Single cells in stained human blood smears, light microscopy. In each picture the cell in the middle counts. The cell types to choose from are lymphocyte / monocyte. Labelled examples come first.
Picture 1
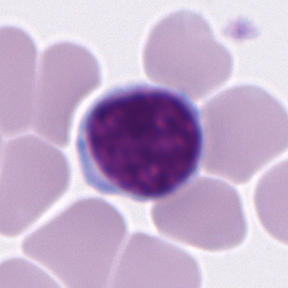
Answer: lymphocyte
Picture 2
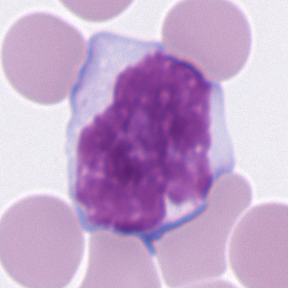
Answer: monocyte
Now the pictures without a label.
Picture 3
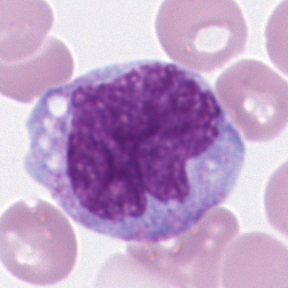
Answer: monocyte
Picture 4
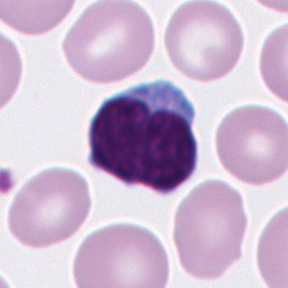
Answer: lymphocyte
